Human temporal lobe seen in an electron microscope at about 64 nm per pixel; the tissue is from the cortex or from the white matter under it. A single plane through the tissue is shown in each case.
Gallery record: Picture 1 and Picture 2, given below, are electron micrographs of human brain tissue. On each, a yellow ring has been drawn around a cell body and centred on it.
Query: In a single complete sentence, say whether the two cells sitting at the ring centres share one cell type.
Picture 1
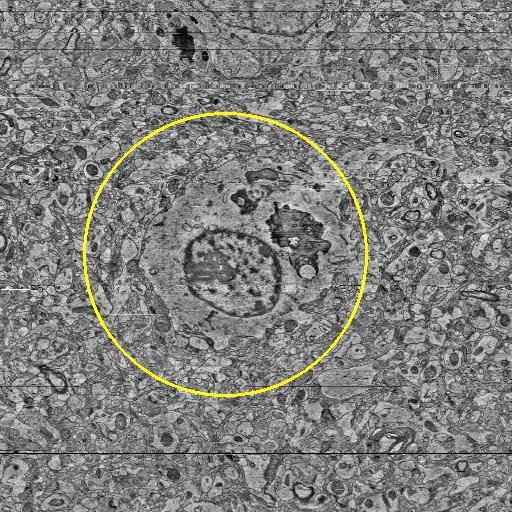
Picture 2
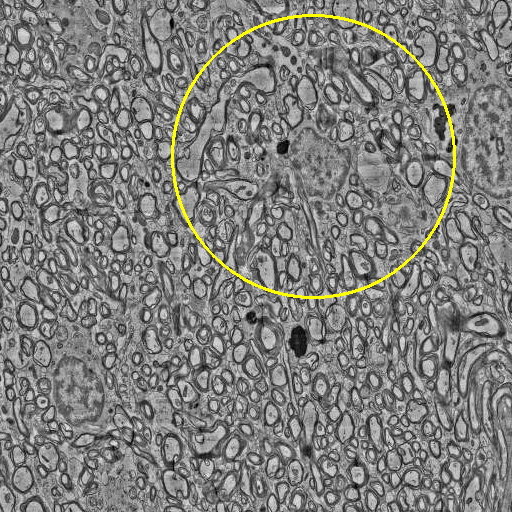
No, in the two pictures the cells at the rings' centres are of two separate types.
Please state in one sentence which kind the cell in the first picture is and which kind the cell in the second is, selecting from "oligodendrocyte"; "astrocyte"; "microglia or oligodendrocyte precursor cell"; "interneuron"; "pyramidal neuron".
The first ringed cell is an astrocyte, the second ringed cell an oligodendrocyte.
